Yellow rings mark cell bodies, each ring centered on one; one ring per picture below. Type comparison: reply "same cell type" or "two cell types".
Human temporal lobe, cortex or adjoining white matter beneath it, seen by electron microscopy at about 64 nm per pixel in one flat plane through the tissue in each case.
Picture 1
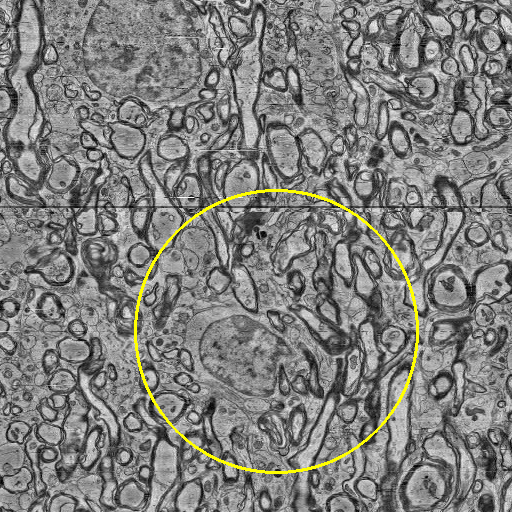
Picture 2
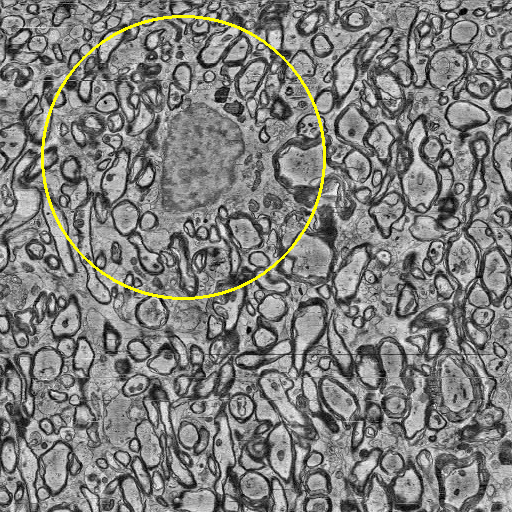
two cell types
